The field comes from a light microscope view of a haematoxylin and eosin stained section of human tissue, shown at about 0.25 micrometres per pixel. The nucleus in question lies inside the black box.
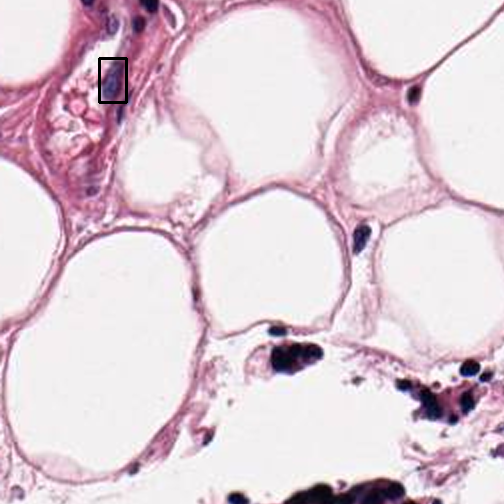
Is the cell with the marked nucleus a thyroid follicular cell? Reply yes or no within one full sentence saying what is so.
No, the marked nucleus is not housed in a thyroid follicular cell but in a supporting cell.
